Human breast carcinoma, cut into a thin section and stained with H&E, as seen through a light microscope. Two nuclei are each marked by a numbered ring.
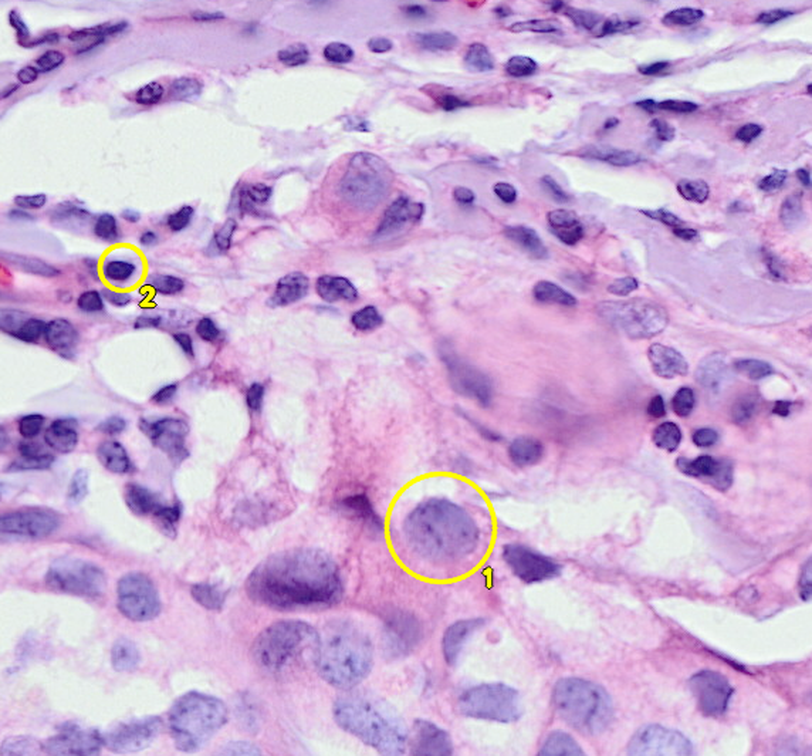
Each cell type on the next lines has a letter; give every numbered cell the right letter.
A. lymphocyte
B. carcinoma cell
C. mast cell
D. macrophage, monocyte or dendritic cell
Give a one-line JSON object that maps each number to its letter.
{"1": "B", "2": "A"}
